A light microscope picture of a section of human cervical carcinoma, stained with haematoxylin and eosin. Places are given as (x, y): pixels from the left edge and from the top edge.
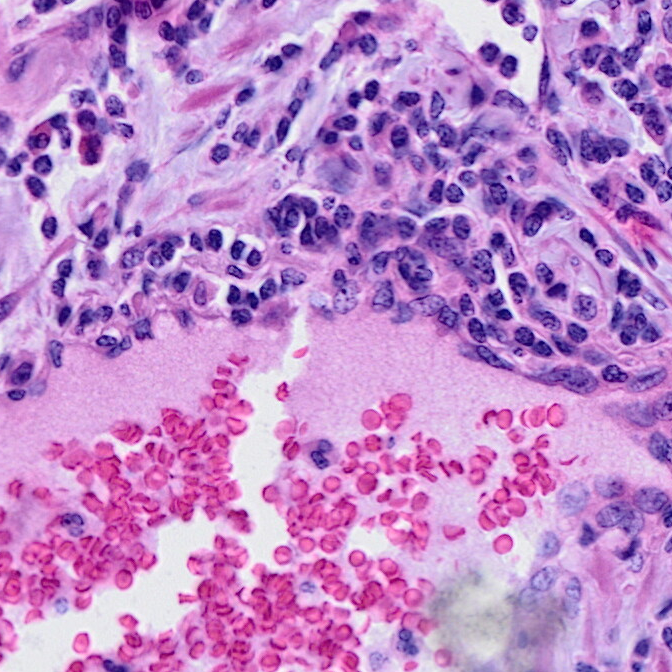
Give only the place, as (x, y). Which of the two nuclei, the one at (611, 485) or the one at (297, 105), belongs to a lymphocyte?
(297, 105)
